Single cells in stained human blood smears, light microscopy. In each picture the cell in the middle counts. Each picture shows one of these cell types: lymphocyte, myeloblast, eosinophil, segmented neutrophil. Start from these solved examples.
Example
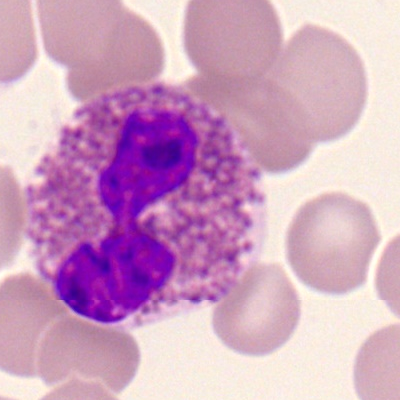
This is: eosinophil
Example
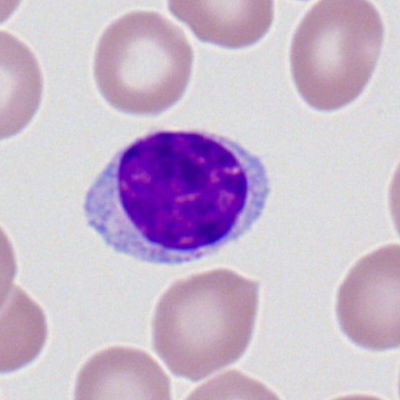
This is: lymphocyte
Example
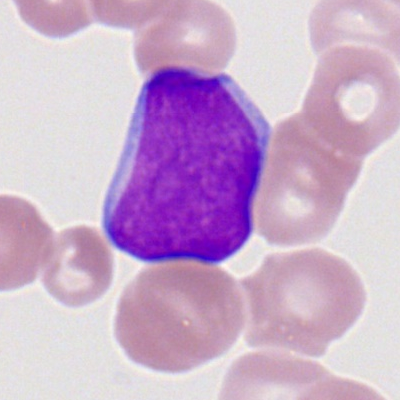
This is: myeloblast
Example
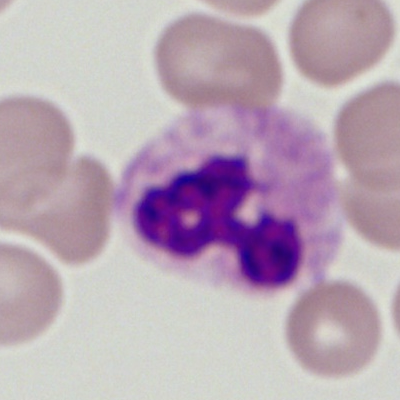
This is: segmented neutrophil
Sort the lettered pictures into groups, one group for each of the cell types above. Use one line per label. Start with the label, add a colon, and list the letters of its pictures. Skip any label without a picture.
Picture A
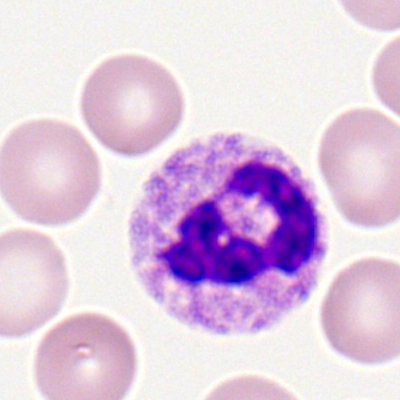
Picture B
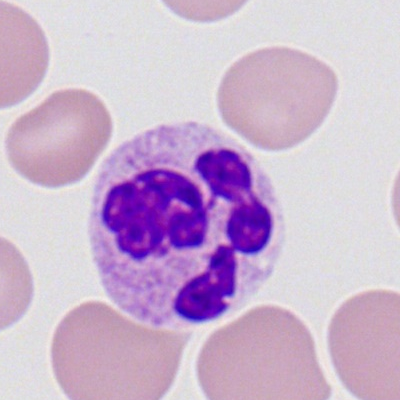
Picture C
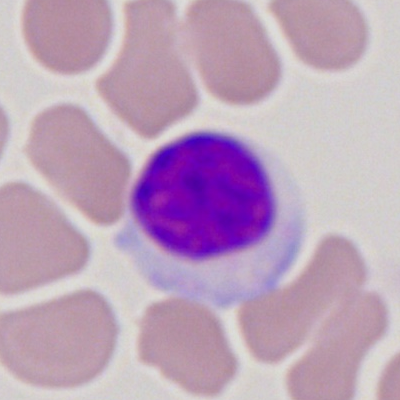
lymphocyte: C
segmented neutrophil: A, B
